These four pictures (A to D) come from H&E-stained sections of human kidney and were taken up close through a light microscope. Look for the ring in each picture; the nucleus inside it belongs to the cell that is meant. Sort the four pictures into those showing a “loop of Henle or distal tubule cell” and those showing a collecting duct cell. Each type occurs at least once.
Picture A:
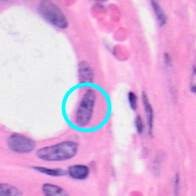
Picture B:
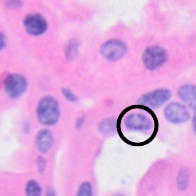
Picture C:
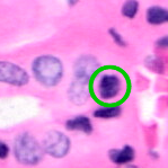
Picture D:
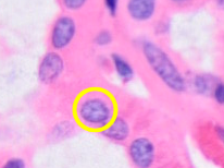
A: collecting duct cell
B: collecting duct cell
C: collecting duct cell
D: loop of Henle or distal tubule cell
